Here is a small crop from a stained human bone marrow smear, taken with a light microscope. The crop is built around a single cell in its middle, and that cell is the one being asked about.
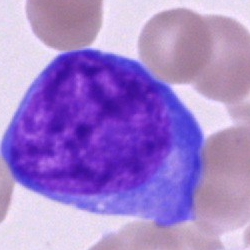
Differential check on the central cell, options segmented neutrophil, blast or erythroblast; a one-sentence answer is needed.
The cell nearest the centre of this crop is a blast.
